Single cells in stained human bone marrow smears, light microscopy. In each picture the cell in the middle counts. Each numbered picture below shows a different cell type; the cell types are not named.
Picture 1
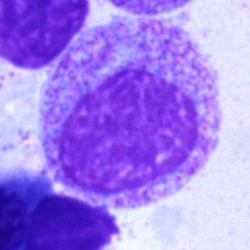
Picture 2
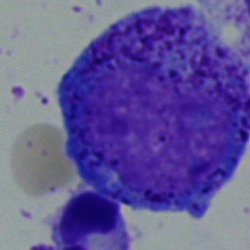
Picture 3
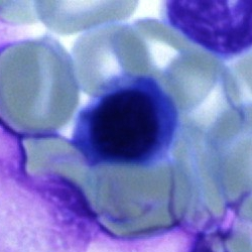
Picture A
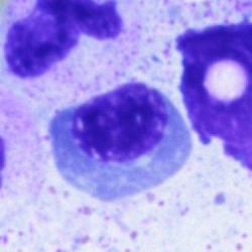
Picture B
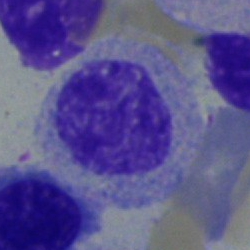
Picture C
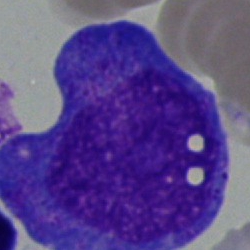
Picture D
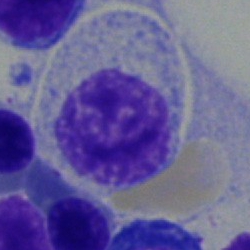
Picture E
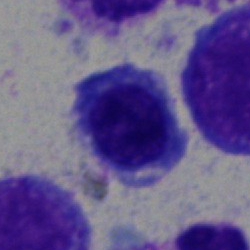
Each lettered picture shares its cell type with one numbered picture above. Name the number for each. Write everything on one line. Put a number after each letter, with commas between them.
A 3, B 1, C 2, D 1, E 3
